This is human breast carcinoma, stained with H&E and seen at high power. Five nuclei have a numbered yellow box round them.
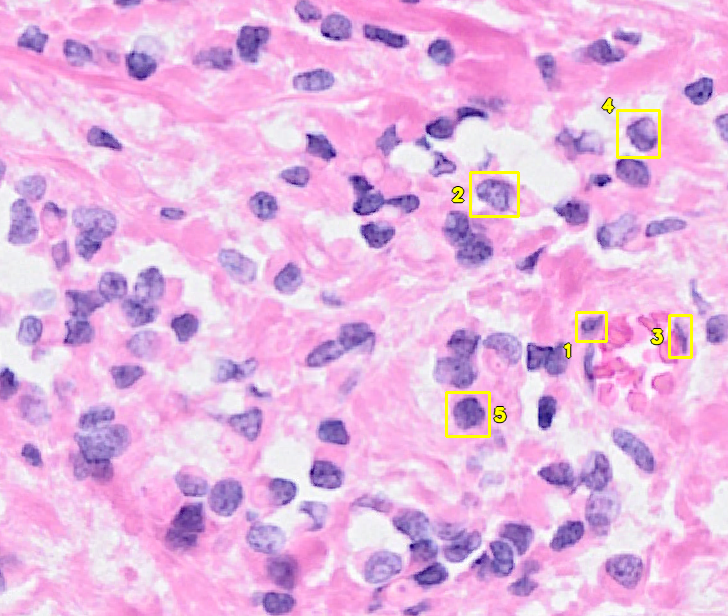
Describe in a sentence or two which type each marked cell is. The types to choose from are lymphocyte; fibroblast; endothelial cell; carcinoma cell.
Cells 1 and 3 are endothelial cells. Cells 2, 4 and 5 are carcinoma cells.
